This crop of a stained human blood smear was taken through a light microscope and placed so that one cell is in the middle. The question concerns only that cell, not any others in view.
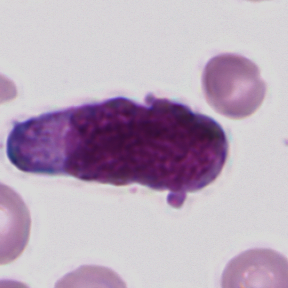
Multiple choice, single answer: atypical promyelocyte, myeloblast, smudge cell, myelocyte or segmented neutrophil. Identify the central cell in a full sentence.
The middle position in this crop is taken by an atypical promyelocyte.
